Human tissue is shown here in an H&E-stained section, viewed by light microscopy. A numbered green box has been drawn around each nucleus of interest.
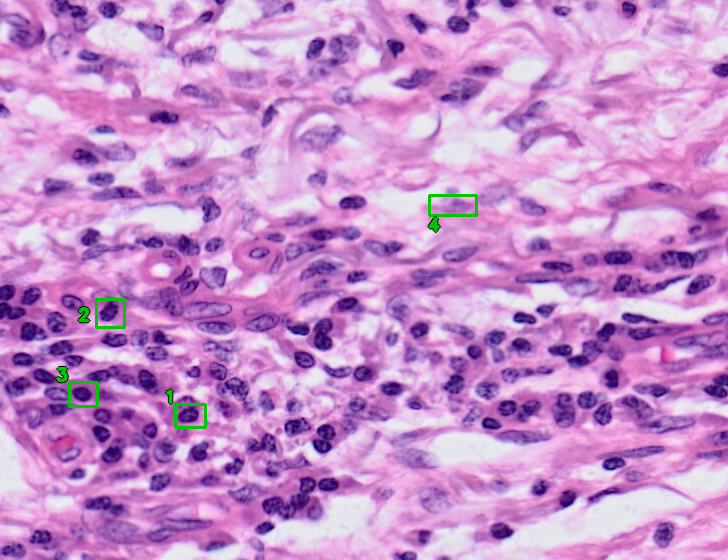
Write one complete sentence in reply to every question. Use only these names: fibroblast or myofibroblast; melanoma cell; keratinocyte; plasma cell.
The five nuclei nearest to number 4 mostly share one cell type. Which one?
Most of the five nuclei nearest to number 4 are those of fibroblasts or myofibroblasts.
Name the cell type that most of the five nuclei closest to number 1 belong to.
Most of the five nuclei nearest to number 1 are those of plasma cells.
